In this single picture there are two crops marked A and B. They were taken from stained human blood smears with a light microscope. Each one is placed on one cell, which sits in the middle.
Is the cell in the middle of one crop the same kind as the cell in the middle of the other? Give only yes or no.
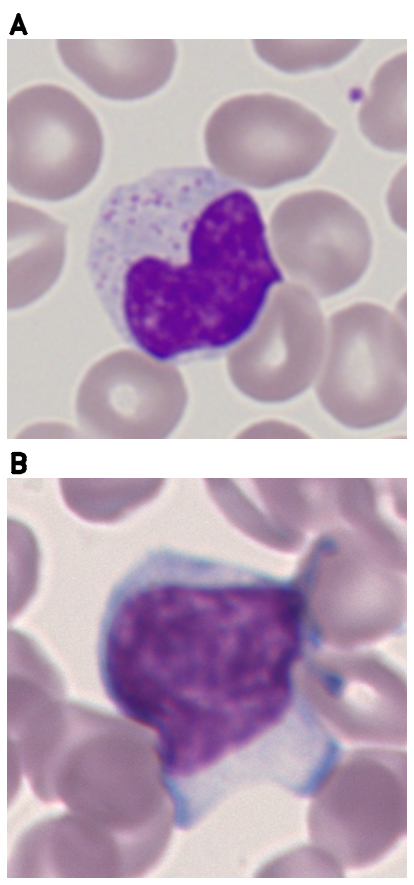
no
